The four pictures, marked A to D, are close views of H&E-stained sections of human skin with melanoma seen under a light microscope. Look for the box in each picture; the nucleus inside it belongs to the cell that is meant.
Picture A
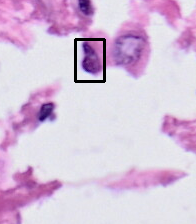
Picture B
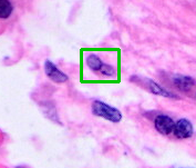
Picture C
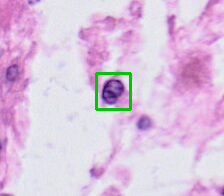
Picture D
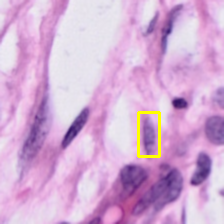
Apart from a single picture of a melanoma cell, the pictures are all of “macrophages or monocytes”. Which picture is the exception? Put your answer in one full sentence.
It is picture A that shows the melanoma cell.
